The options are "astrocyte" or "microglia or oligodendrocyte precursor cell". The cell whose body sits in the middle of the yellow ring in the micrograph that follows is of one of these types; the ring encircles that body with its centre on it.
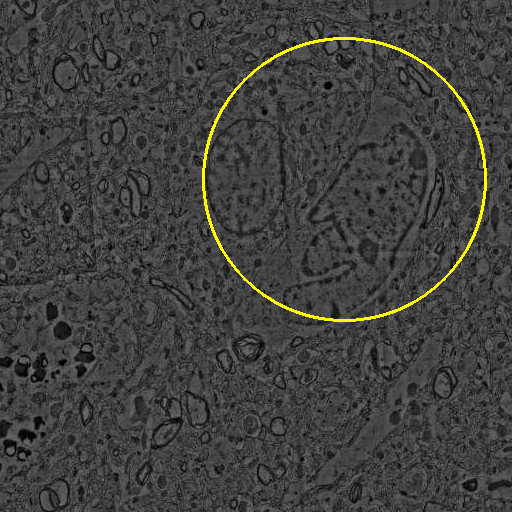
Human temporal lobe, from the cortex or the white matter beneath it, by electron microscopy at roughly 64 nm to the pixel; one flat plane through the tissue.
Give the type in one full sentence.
Going by the micrograph, the cell centred in the yellow ring is a microglial cell or oligodendrocyte precursor cell.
